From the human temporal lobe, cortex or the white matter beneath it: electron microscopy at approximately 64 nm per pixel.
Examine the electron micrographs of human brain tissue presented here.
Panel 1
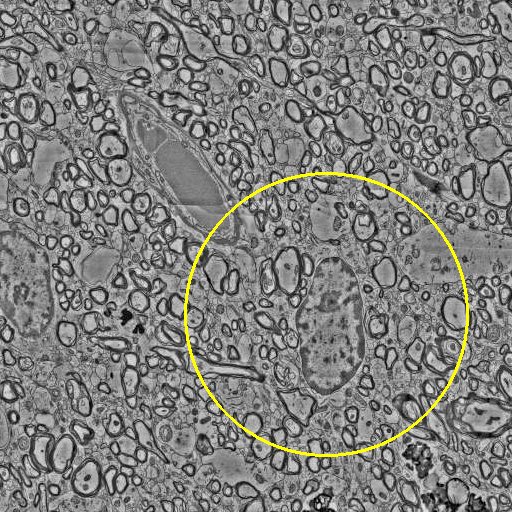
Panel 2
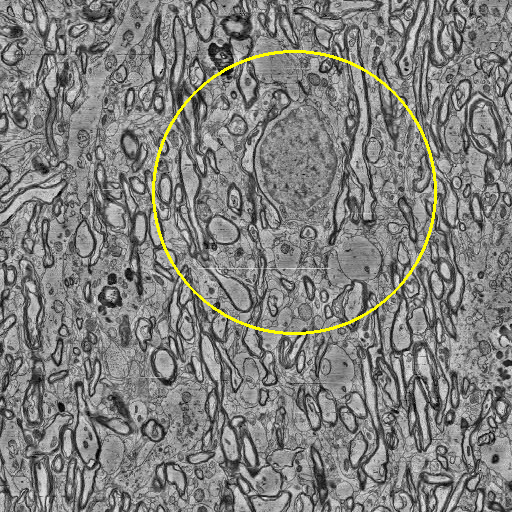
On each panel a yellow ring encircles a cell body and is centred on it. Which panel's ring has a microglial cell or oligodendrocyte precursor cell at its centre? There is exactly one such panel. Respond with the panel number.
1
